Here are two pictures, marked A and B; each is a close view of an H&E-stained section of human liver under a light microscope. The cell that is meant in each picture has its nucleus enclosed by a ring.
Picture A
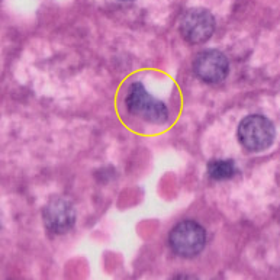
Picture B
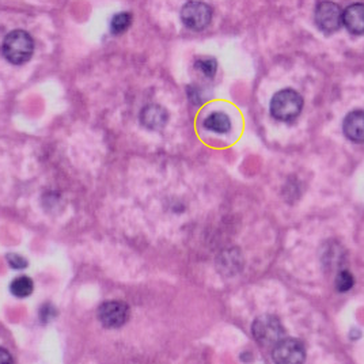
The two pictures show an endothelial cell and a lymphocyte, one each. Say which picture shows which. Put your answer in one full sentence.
Picture A shows an endothelial cell and picture B shows a lymphocyte.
